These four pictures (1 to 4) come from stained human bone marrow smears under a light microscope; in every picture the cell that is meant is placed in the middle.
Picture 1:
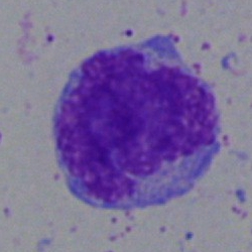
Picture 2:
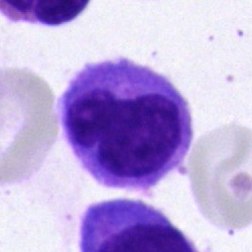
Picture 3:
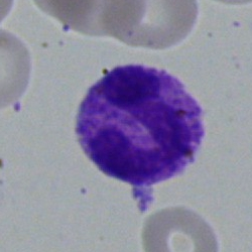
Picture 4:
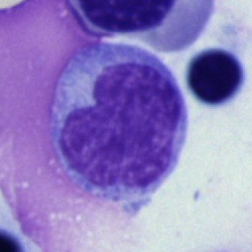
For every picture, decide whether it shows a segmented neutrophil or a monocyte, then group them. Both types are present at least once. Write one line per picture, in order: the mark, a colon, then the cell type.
1: monocyte
2: monocyte
3: segmented neutrophil
4: monocyte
